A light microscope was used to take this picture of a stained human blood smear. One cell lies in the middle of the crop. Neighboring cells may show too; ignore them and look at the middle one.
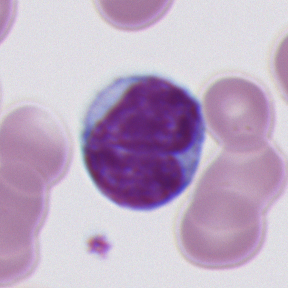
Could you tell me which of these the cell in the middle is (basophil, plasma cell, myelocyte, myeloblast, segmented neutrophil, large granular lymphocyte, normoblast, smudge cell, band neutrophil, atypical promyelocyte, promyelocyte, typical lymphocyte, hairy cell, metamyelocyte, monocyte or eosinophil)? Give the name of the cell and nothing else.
typical lymphocyte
